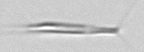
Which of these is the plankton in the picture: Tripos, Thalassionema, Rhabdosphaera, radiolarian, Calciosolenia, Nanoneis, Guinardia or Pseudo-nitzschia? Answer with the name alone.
Calciosolenia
